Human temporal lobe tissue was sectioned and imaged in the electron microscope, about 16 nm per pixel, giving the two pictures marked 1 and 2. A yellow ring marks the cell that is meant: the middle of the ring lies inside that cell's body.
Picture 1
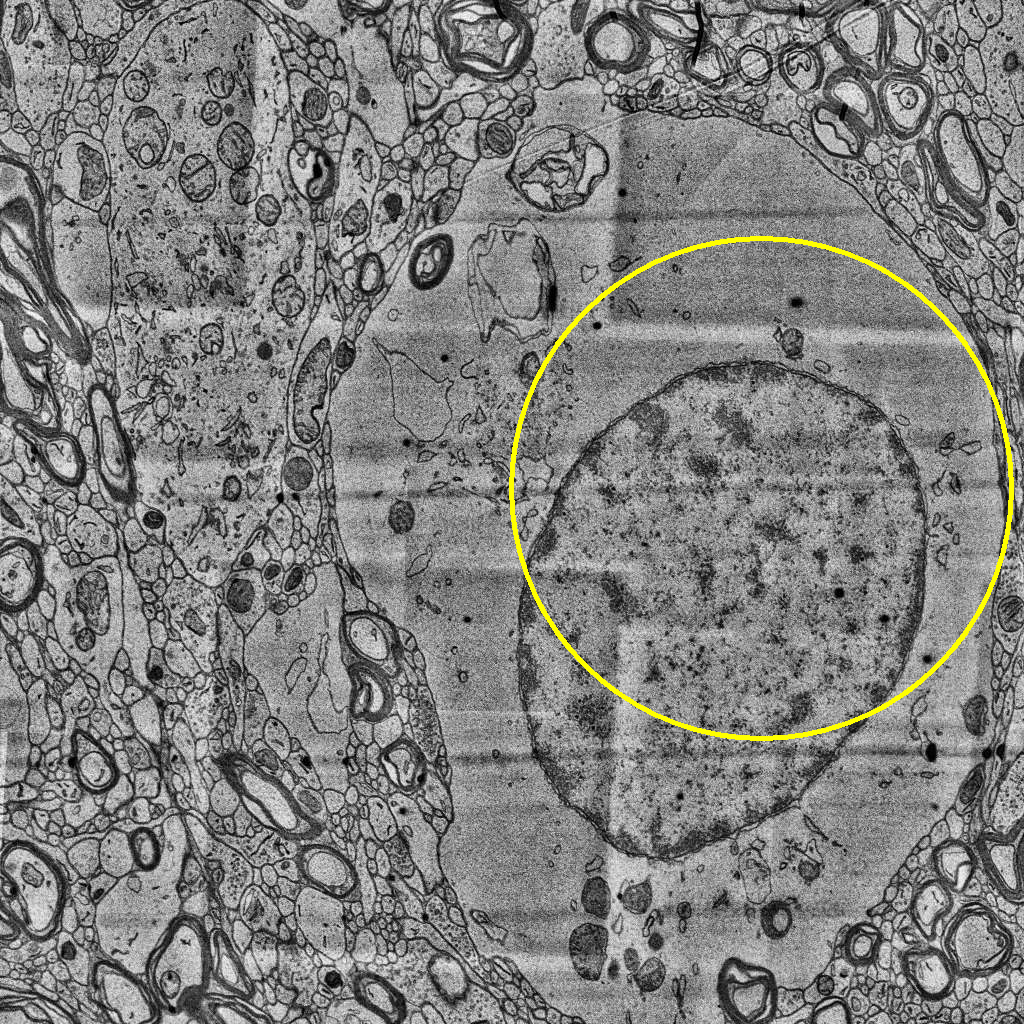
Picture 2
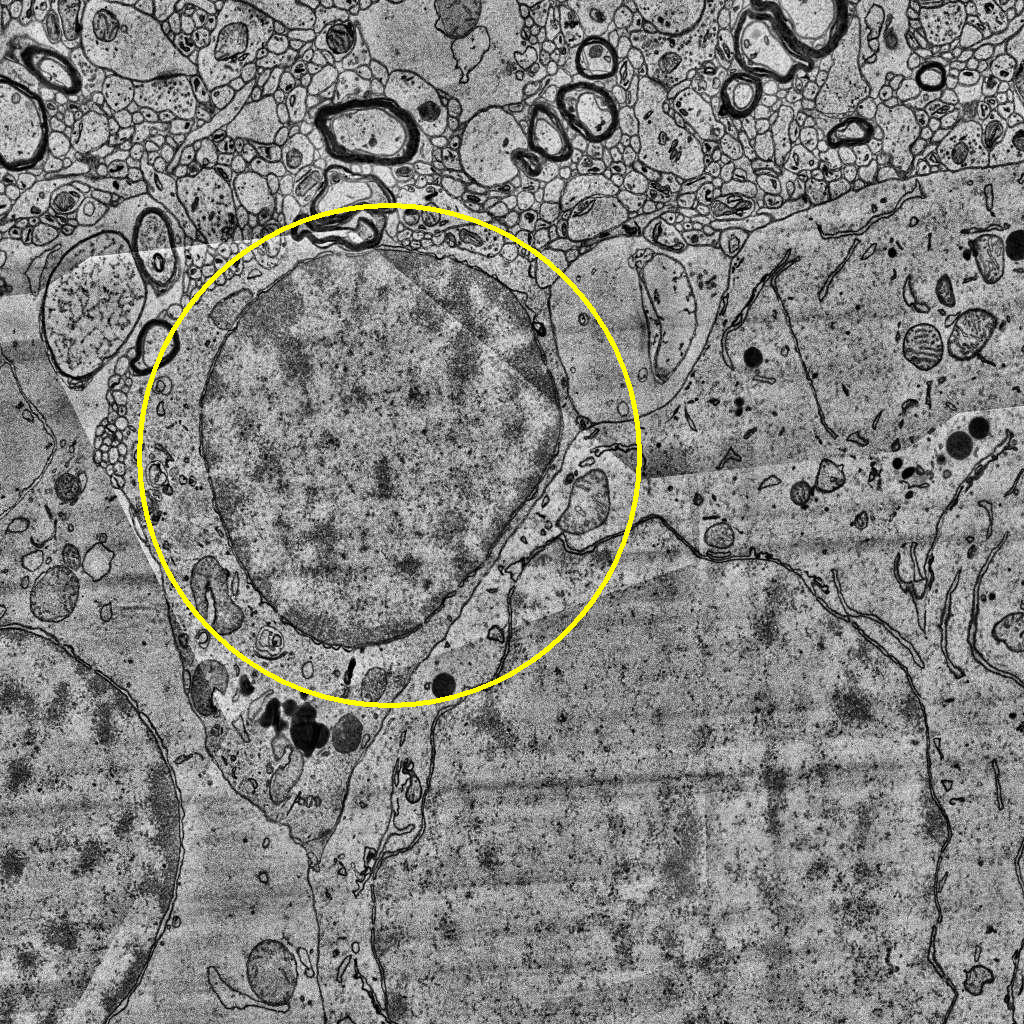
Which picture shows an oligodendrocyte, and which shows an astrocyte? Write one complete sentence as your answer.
In picture 1 the cell is an astrocyte; in picture 2, an oligodendrocyte.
